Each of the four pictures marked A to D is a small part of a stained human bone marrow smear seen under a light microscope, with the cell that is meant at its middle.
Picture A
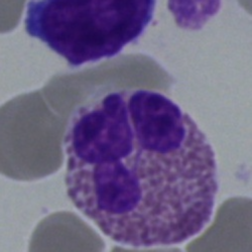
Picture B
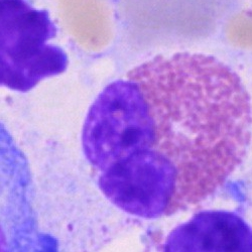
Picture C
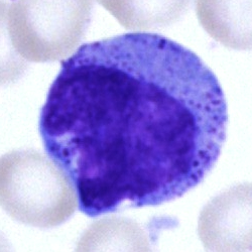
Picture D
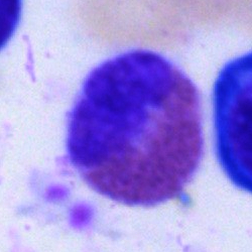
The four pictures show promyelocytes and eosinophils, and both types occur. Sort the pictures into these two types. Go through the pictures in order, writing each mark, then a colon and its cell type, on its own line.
A: eosinophil
B: eosinophil
C: promyelocyte
D: eosinophil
